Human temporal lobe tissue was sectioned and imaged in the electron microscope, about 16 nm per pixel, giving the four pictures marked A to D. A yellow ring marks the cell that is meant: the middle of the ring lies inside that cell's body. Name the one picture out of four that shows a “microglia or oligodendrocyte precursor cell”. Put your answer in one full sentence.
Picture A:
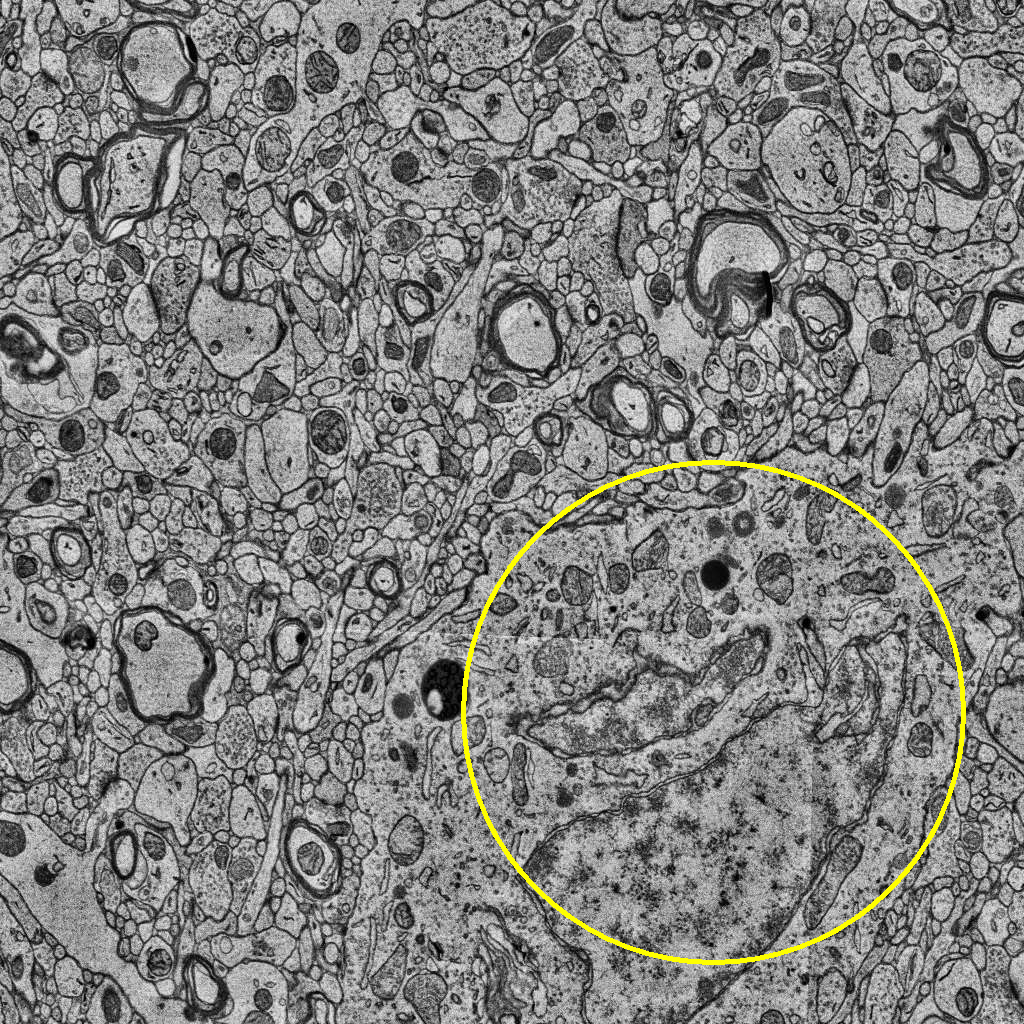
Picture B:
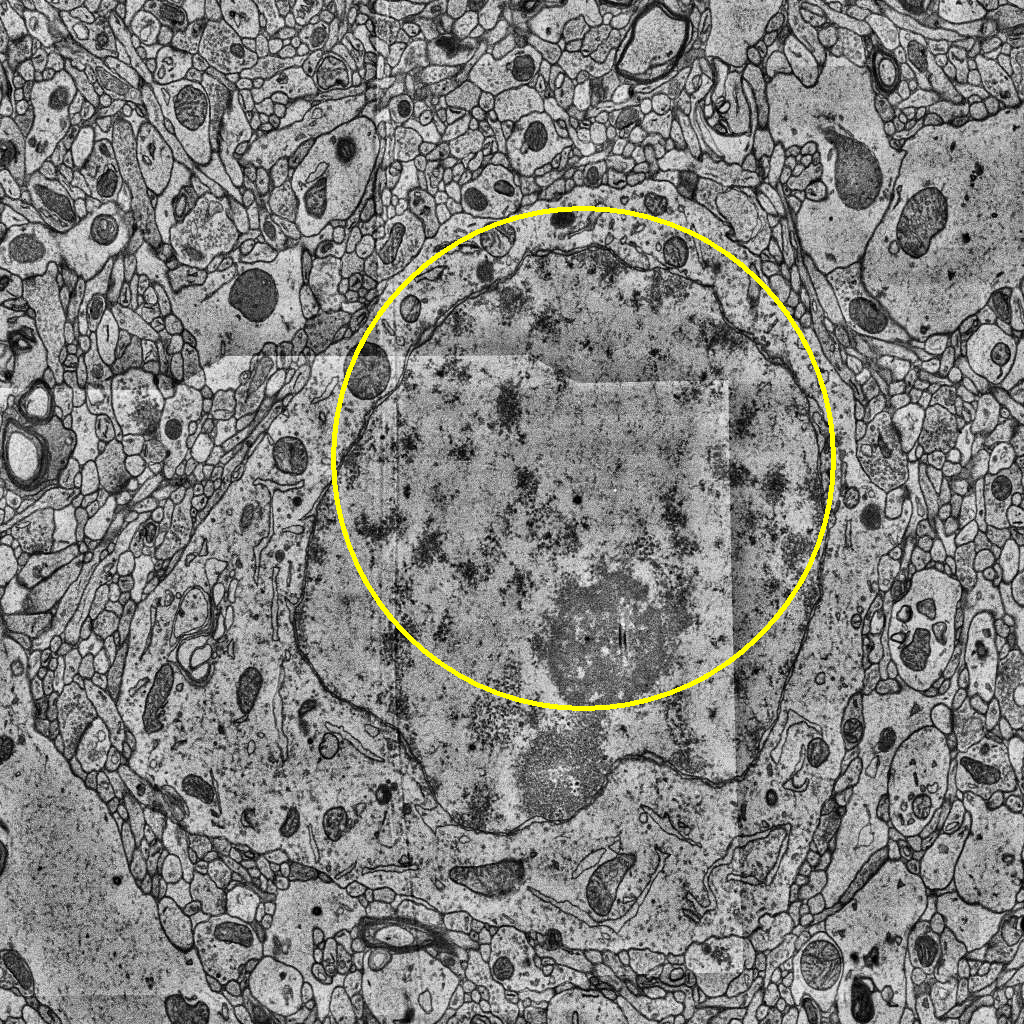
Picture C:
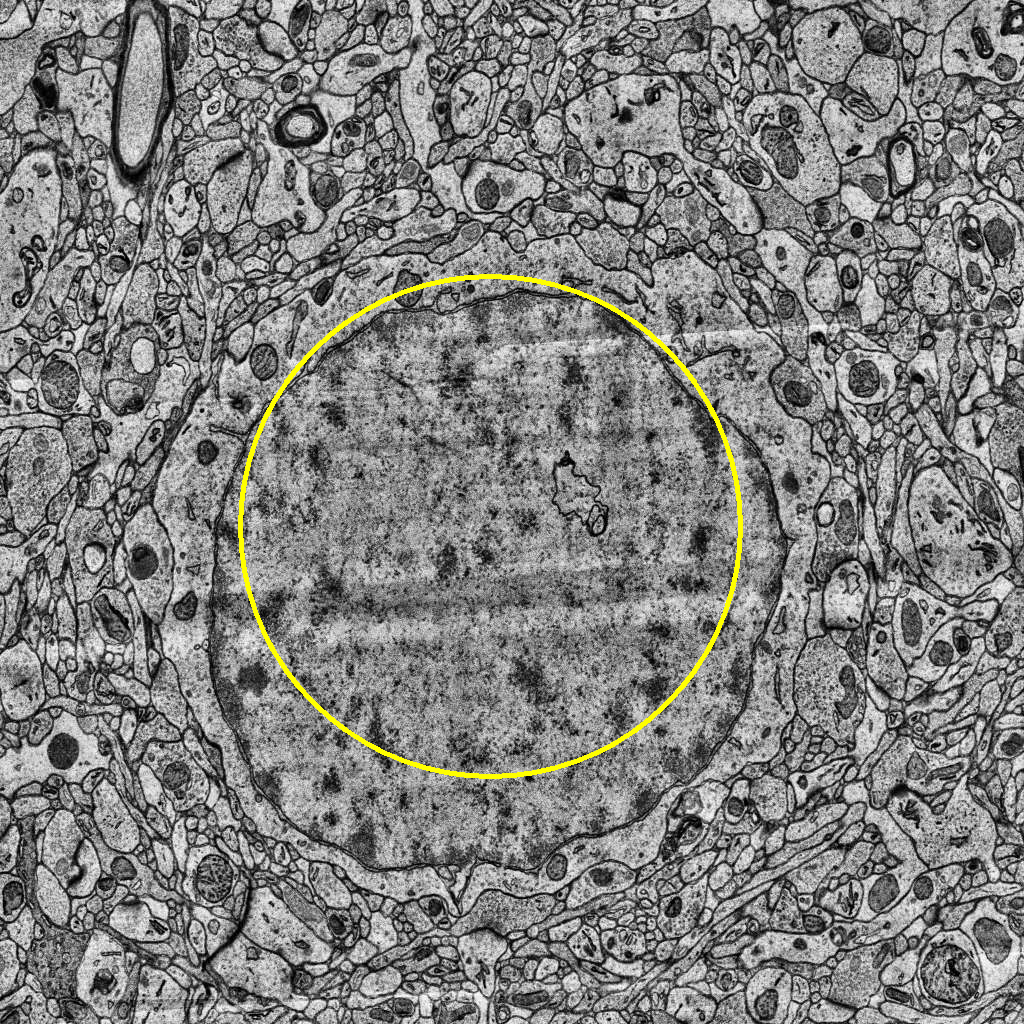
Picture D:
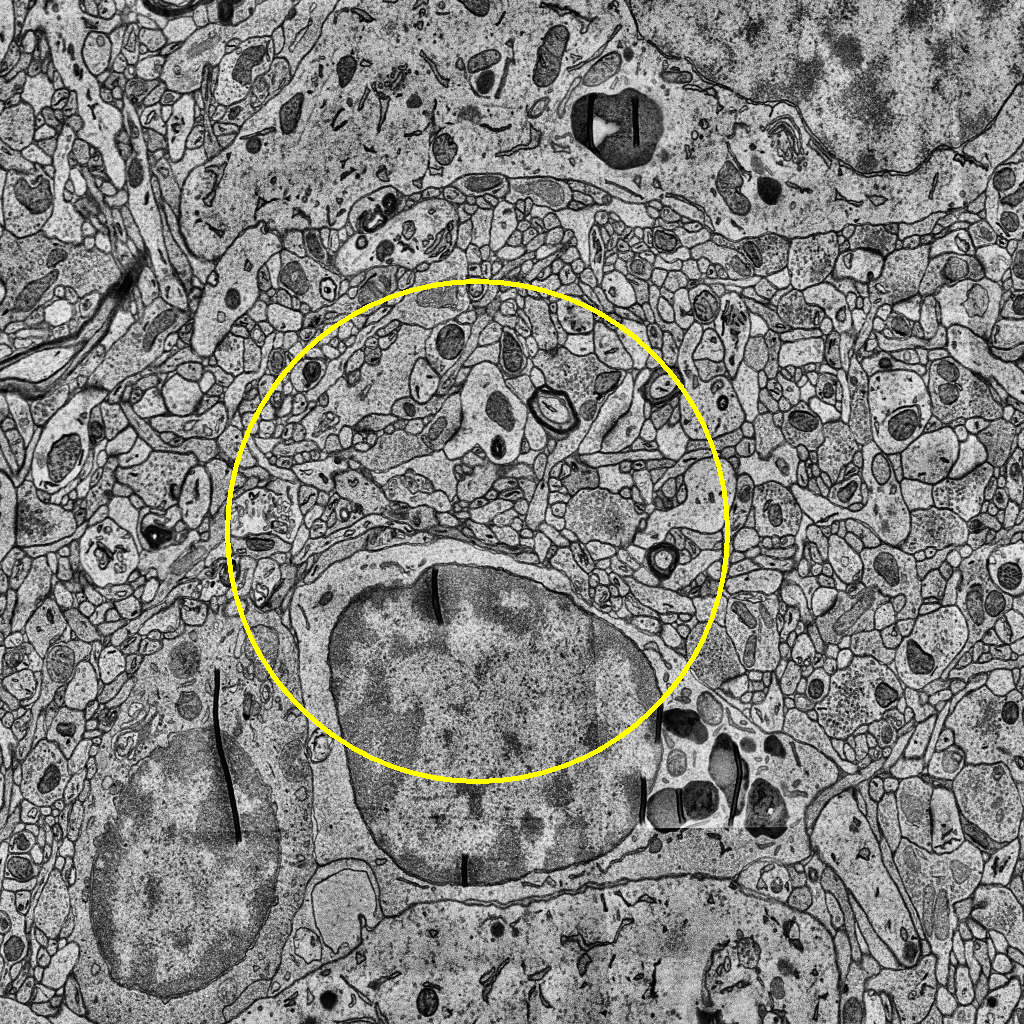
The cell in picture D is the “microglia or oligodendrocyte precursor cell”.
